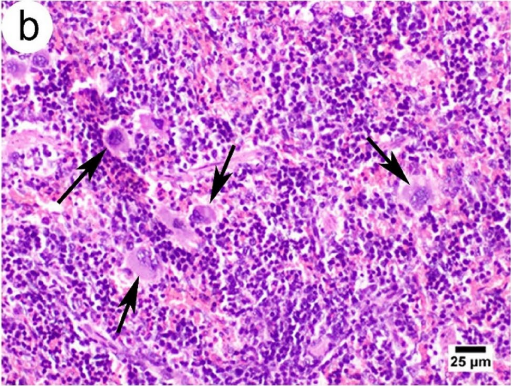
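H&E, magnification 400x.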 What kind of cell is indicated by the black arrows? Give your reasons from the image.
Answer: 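Megakaryocytes. The arrowed cells are much larger than the surrounding small round cells. Each arrowed cell has a large, irregular or lobed nucleus. The arrowed cells have ample pale pink cytoplasm.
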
